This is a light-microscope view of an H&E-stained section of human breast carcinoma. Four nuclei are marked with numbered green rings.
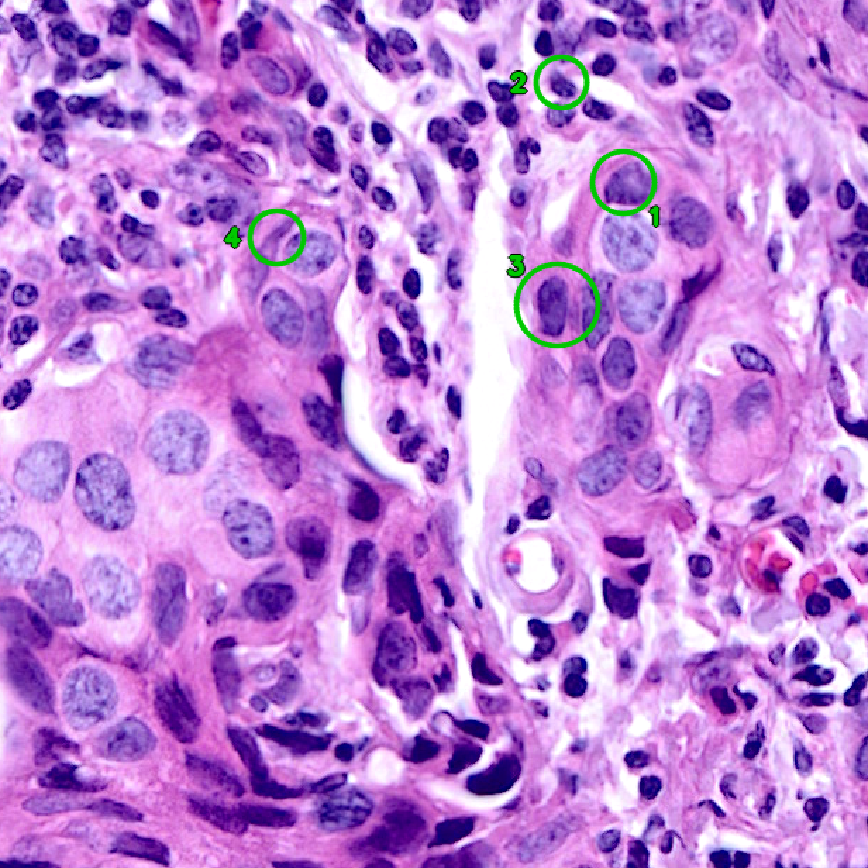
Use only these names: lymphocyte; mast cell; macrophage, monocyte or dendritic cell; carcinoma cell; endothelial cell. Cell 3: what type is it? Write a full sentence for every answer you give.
The cell assigned the number 3 is a carcinoma cell.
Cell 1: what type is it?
Looking at the numbered marks, cell 1 is a carcinoma cell.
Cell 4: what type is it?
The cell tagged with 4 in this tissue section is a carcinoma cell.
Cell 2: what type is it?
Cell 2, among those numbered, is a lymphocyte.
